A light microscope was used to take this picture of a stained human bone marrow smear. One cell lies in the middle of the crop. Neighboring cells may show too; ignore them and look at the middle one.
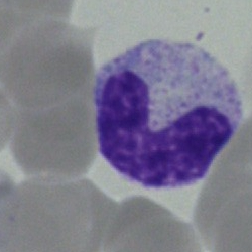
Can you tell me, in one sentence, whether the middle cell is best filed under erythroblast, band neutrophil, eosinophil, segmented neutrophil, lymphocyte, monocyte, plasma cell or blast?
Of the cells in this crop, the central one is a band neutrophil.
